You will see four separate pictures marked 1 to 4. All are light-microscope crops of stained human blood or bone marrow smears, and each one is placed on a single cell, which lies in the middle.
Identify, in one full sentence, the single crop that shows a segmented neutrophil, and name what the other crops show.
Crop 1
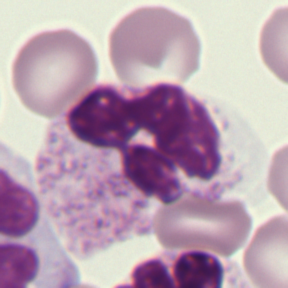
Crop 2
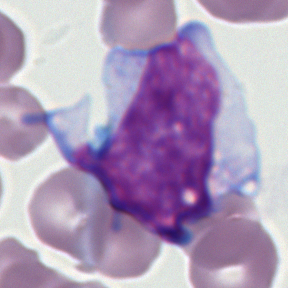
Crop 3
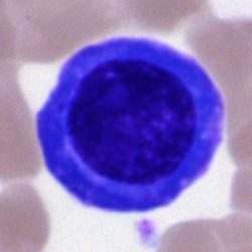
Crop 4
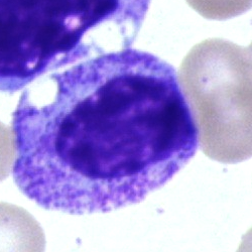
In the crop designated 1, the cell is a segmented neutrophil, while crop 2 is a blast, crop 3 is a plasma cell and crop 4 is a myelocyte.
